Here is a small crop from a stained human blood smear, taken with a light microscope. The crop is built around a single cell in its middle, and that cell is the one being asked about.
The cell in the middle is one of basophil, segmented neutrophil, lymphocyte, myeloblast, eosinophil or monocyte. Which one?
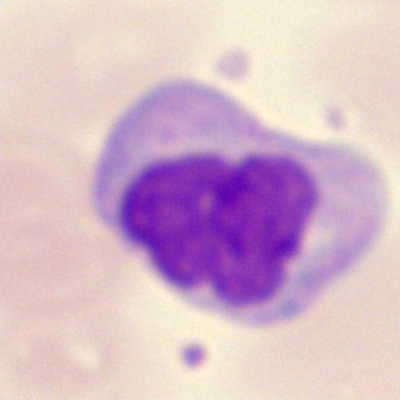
monocyte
